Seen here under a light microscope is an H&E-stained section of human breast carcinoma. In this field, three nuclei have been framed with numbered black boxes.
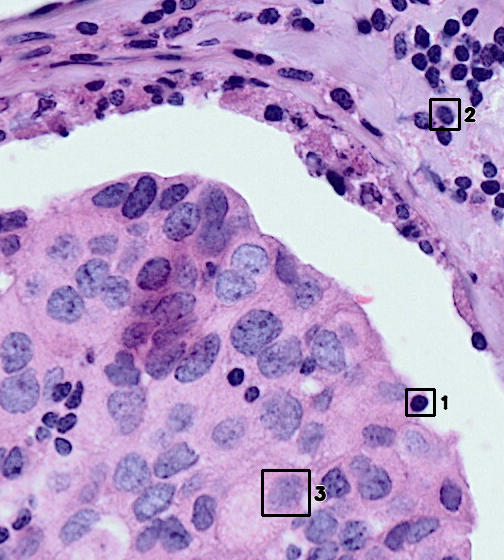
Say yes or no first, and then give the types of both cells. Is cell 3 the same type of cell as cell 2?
No, cell 3 is a carcinoma cell and cell 2 is a lymphocyte.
